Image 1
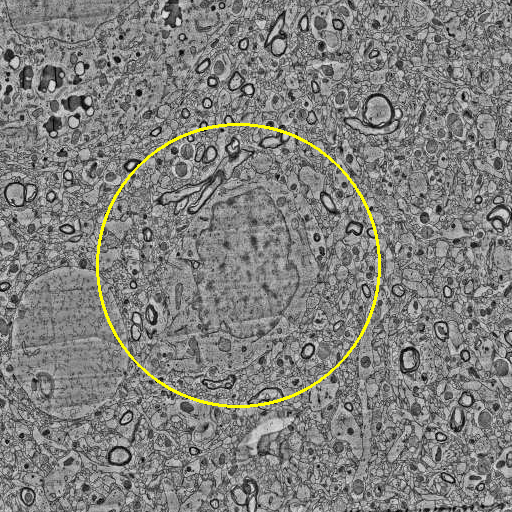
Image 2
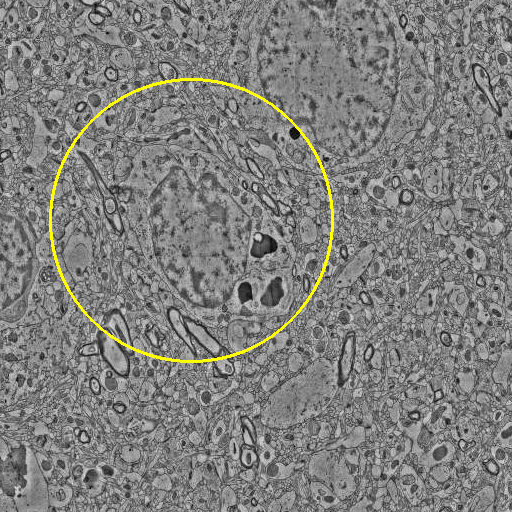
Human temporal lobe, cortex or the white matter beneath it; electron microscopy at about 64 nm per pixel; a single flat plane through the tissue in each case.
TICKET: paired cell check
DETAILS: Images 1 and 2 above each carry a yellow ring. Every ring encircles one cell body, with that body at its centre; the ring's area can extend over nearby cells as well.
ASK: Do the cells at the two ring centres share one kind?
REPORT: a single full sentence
Yes, the ring-centre cells of Images 1 and 2 belong to a single kind.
